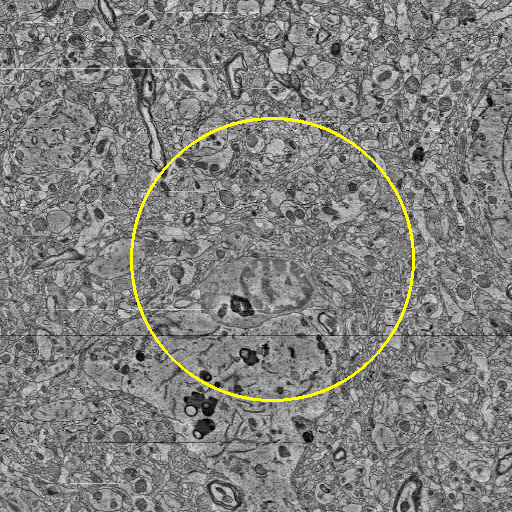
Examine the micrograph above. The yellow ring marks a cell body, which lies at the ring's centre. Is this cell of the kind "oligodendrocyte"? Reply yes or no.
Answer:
yes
